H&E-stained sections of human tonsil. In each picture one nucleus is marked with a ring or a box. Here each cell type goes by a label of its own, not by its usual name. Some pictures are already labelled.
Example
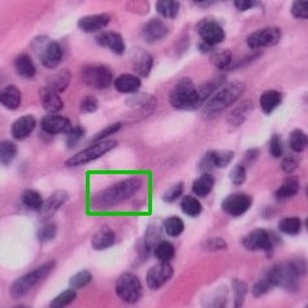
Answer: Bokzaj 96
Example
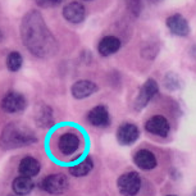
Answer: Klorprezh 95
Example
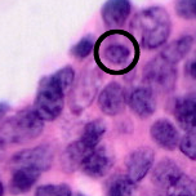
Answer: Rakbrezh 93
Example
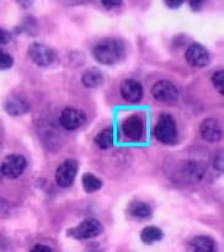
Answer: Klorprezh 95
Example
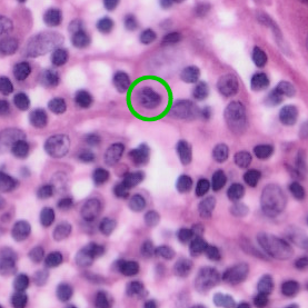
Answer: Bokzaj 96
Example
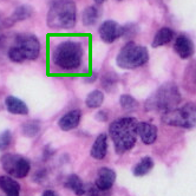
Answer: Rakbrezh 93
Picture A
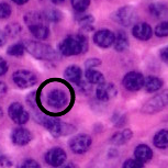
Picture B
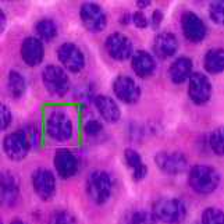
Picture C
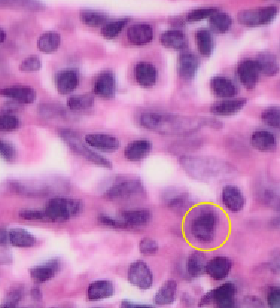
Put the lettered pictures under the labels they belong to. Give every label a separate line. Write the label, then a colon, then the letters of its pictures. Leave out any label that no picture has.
Bokzaj 96: C
Klorprezh 95: A, B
